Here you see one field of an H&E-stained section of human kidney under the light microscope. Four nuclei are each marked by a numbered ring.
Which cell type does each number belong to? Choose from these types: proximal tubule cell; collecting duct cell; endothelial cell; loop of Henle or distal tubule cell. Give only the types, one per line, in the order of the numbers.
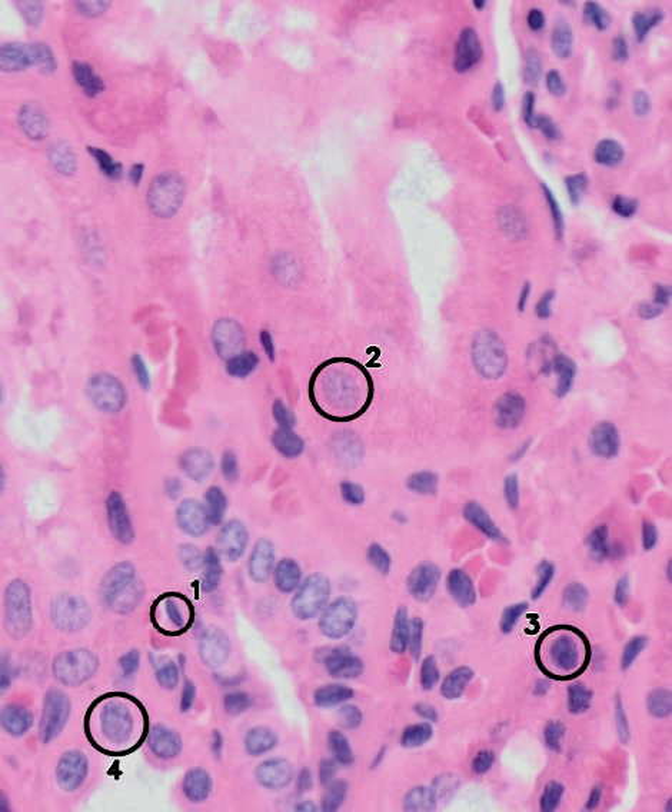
endothelial cell
proximal tubule cell
loop of Henle or distal tubule cell
loop of Henle or distal tubule cell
